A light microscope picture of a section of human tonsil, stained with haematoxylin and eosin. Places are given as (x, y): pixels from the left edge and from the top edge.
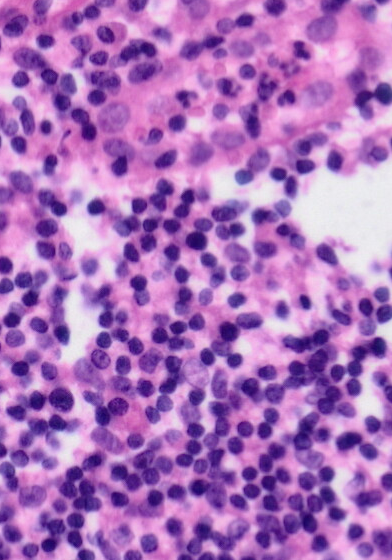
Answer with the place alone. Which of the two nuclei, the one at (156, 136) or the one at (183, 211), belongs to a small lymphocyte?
(183, 211)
